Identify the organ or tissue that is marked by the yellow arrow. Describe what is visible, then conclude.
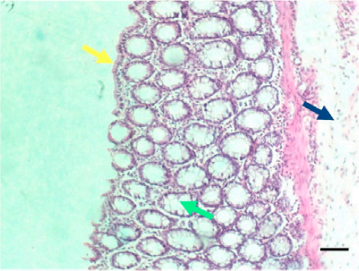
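The arrow points to the intact cell lining at the luminal edge of the mucosa. So: epithelial layer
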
